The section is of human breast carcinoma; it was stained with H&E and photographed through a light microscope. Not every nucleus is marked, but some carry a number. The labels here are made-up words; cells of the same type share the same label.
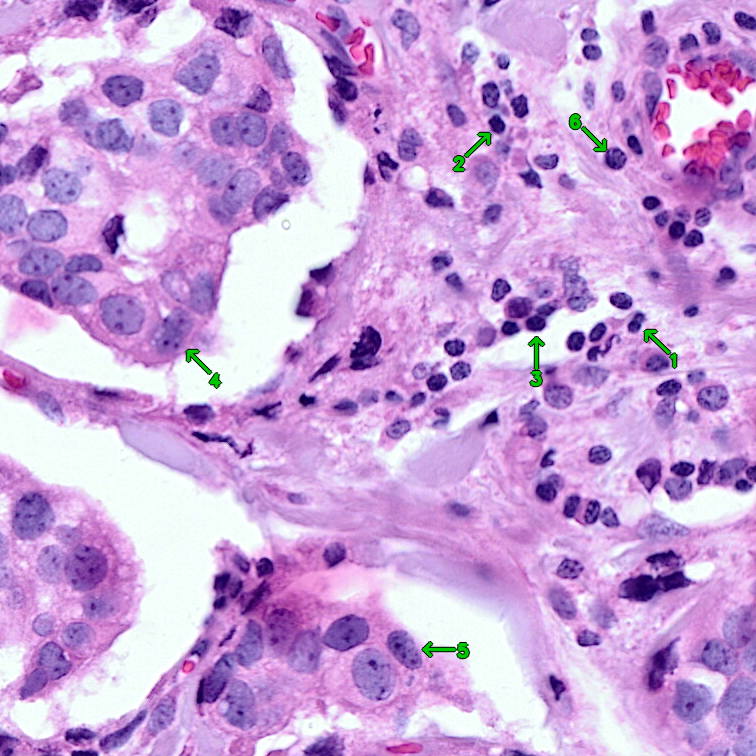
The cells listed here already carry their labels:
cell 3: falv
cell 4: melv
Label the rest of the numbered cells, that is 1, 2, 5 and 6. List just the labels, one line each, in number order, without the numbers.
falv
falv
melv
falv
